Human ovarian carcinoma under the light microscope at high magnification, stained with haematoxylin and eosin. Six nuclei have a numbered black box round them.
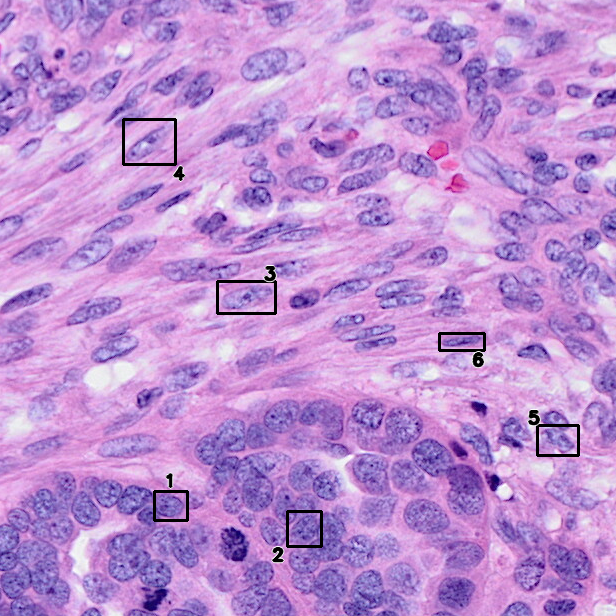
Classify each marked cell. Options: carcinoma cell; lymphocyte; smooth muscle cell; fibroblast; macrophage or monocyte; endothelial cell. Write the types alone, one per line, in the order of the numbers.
carcinoma cell
carcinoma cell
fibroblast
fibroblast
fibroblast
fibroblast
